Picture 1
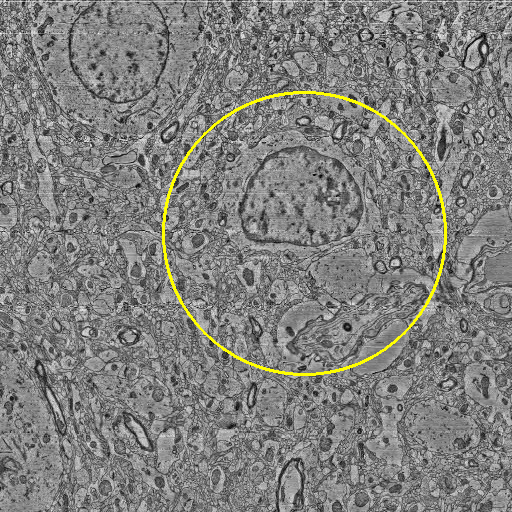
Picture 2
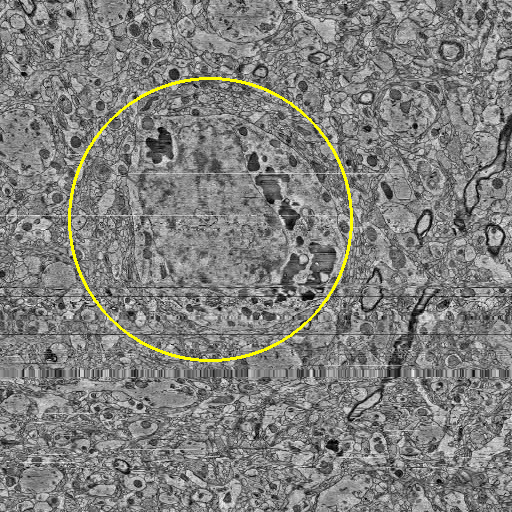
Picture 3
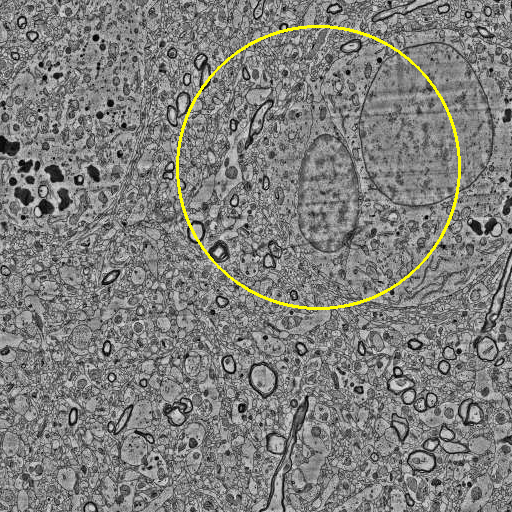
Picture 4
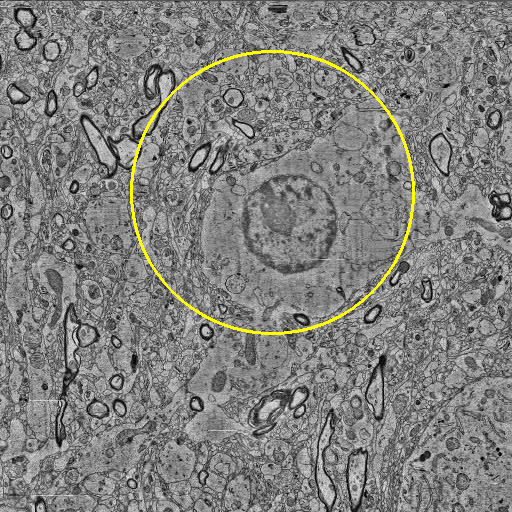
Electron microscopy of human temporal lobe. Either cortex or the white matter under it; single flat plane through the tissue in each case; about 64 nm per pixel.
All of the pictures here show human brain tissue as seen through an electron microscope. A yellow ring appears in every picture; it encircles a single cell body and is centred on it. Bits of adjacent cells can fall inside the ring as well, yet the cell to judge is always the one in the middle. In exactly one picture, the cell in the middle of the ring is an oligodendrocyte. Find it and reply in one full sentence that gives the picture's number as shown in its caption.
Of all the pictures, picture 3 has the right cell at the centre of its ring.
